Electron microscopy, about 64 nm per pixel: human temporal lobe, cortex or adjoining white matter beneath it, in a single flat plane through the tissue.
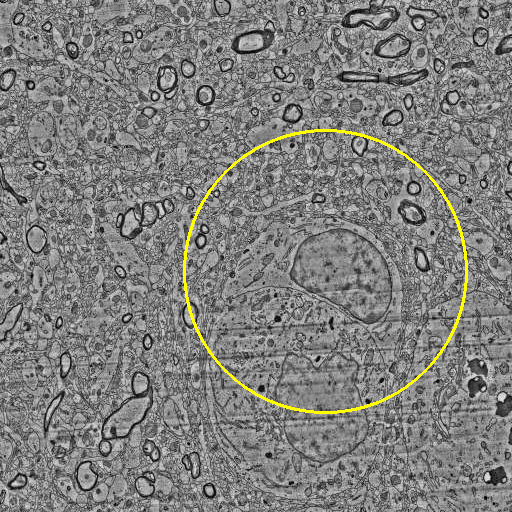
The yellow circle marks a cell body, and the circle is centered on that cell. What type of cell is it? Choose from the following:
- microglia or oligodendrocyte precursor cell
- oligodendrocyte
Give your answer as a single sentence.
This cell body belongs to a microglial cell or oligodendrocyte precursor cell.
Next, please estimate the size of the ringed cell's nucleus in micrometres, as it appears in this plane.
The nucleus works out at approximately 7 by 5 micrometres in this plane.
